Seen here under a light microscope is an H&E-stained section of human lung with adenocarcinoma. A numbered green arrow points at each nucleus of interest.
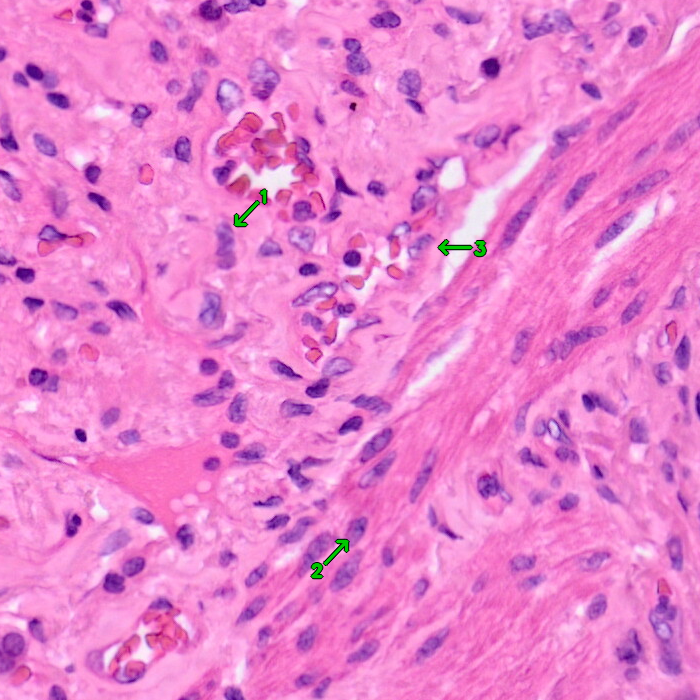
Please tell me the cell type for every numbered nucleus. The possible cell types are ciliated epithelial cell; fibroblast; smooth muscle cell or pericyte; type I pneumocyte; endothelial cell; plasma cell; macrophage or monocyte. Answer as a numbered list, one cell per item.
1. fibroblast
2. smooth muscle cell or pericyte
3. endothelial cell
